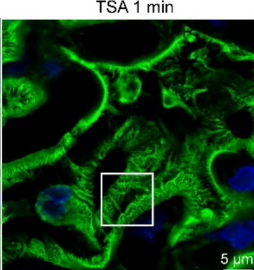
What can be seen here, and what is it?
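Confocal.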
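Glomerular tissue with capillary loops lined by podocytes is seen at high magnification. Green lines outline the curving walls of many capillary loops, enclosing dark, empty lumina. Where a loop wall is seen face-on, the green stain forms a dense, finely striated meshwork of branching processes lying side by side. Scattered blue oval nuclei sit between and beside the loops. The box marks one such face-on area with regularly arrayed processes.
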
